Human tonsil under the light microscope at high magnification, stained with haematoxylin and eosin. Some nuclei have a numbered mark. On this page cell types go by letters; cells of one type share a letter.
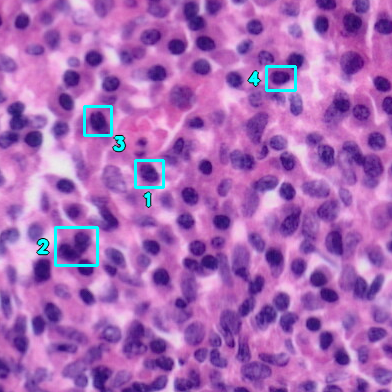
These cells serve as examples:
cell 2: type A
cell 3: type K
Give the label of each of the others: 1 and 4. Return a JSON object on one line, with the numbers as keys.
{"1": "type K", "4": "type K"}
